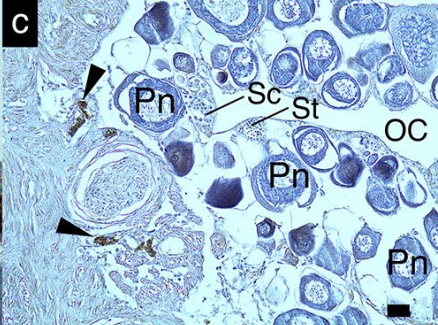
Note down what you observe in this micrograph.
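This is an early transitional fish gonad in which perinucleolus stage oocytes of various sizes, with blue cytoplasm and round nuclei, lie beside small cysts of spermatocytes and spermatids. Clusters of brown-stained cells sit in the fibrous connective tissue at the edge of the gonad, away from the germ cells.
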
